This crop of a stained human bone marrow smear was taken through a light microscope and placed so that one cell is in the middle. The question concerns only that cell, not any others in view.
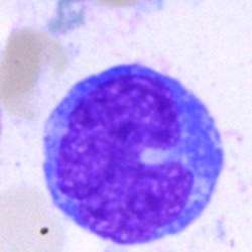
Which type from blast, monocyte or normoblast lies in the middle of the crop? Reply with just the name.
monocyte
